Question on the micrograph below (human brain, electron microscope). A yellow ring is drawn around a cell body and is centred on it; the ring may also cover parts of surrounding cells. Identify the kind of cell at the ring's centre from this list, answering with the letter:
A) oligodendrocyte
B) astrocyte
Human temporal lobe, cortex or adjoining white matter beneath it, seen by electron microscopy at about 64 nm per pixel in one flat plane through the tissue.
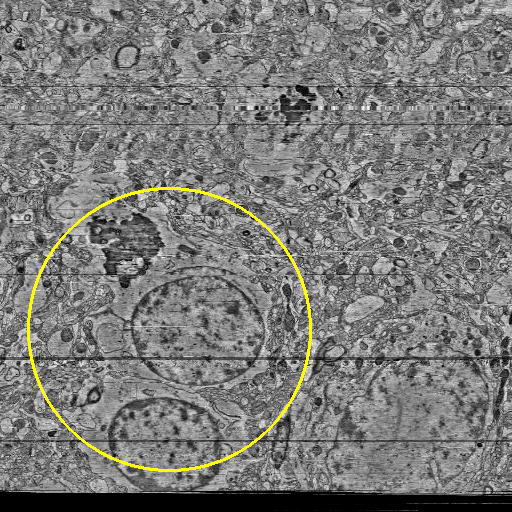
B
